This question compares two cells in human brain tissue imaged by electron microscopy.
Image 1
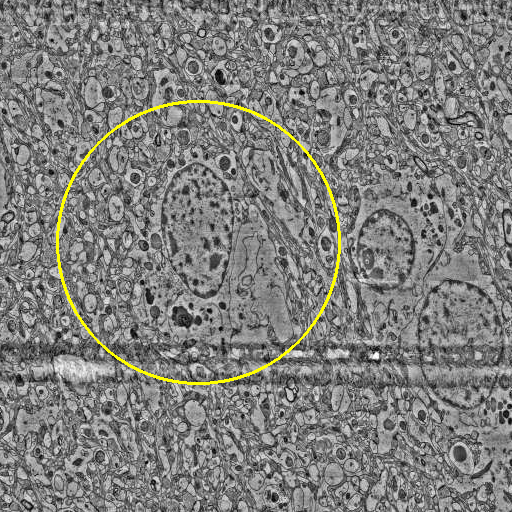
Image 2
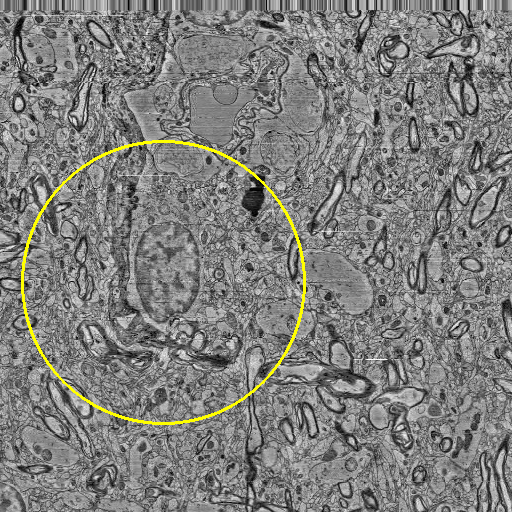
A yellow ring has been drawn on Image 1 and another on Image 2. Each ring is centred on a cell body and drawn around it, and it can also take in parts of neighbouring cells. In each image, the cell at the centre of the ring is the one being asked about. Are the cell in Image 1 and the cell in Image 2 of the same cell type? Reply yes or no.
no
